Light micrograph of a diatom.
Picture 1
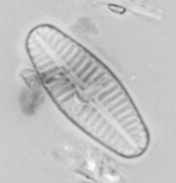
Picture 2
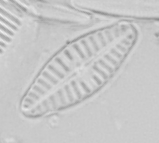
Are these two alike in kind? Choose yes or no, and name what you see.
Yes. Planothidium.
